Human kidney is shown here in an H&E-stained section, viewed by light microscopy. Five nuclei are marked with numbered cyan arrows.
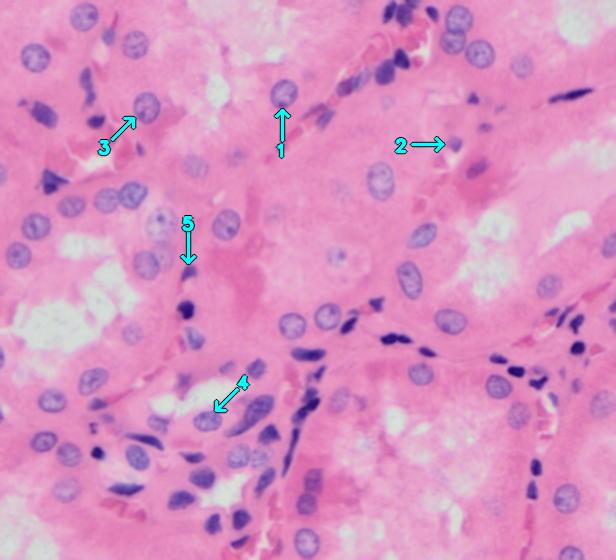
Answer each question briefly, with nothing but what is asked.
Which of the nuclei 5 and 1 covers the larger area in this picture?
1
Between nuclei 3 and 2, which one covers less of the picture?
2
